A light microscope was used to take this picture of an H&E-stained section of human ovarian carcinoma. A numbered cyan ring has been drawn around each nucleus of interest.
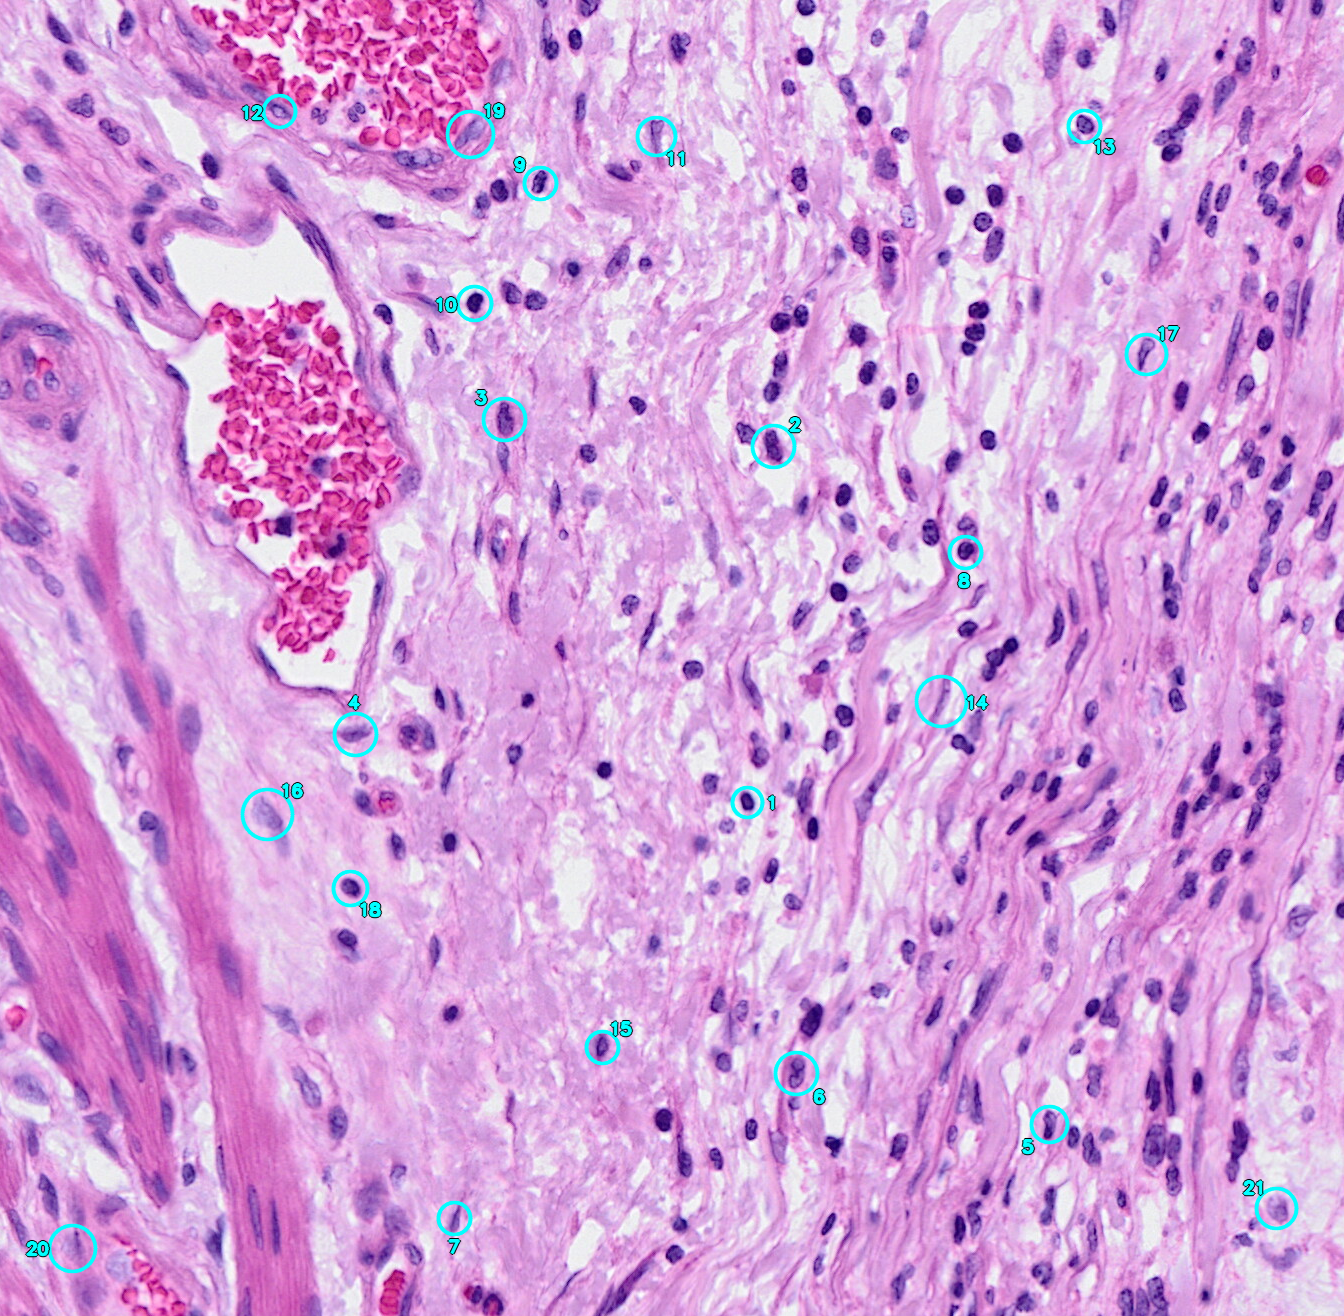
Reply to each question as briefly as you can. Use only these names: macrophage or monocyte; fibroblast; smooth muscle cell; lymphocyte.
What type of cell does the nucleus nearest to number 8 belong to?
macrophage or monocyte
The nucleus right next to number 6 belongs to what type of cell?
lymphocyte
